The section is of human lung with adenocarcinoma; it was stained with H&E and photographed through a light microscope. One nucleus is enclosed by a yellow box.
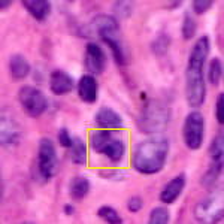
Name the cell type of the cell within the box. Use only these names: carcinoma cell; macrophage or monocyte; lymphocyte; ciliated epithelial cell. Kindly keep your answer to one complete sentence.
In this section of tissue, the cell within the box is a lymphocyte.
